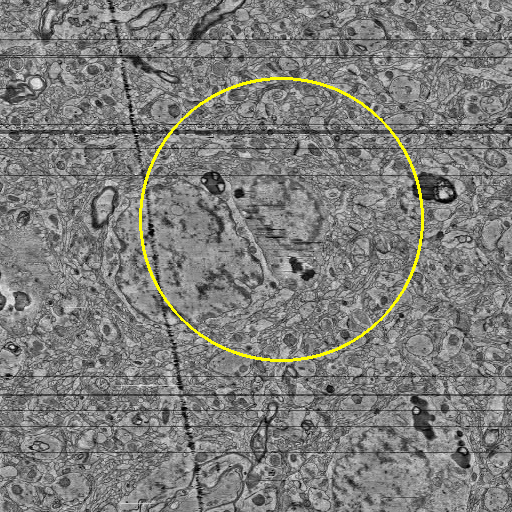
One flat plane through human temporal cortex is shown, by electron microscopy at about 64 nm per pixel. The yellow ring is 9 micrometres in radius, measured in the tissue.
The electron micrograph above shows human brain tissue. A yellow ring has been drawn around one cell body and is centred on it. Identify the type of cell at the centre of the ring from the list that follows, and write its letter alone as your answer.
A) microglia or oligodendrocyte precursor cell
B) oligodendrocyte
B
